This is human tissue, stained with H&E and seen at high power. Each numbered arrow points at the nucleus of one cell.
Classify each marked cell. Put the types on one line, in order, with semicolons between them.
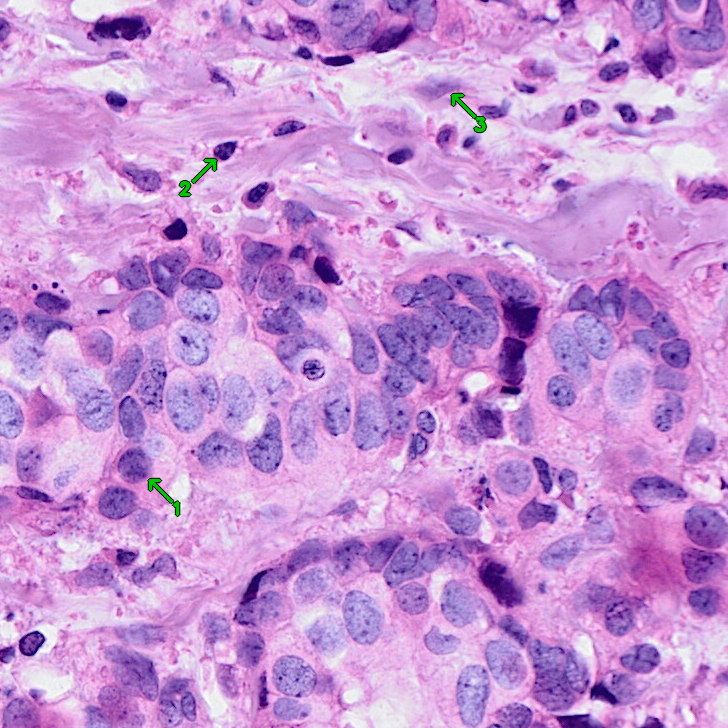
carcinoma cell; lymphocyte; fibroblast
